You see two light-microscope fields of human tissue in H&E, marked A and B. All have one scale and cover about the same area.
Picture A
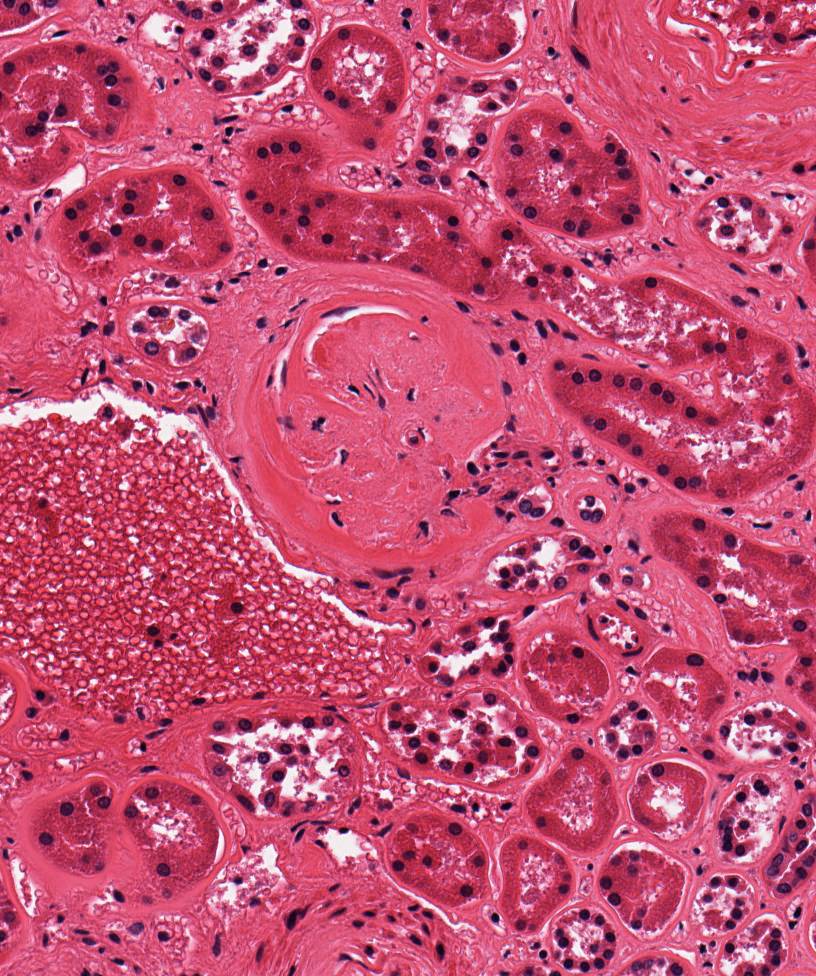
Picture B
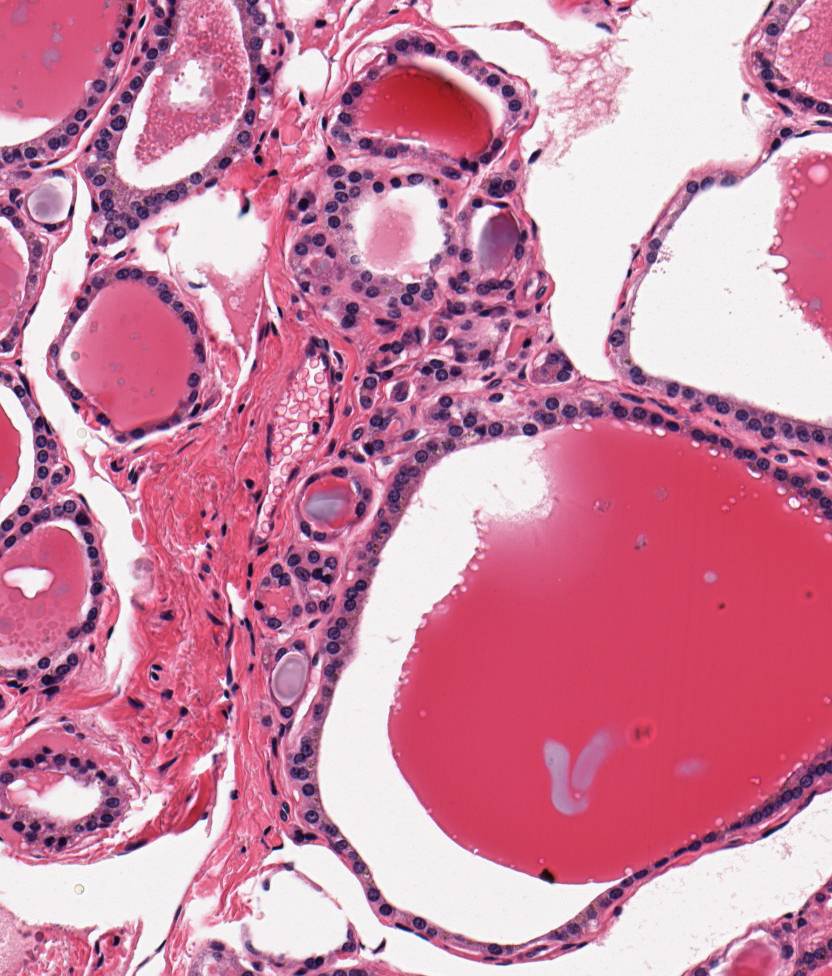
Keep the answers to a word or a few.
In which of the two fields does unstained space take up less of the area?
A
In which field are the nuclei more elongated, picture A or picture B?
B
